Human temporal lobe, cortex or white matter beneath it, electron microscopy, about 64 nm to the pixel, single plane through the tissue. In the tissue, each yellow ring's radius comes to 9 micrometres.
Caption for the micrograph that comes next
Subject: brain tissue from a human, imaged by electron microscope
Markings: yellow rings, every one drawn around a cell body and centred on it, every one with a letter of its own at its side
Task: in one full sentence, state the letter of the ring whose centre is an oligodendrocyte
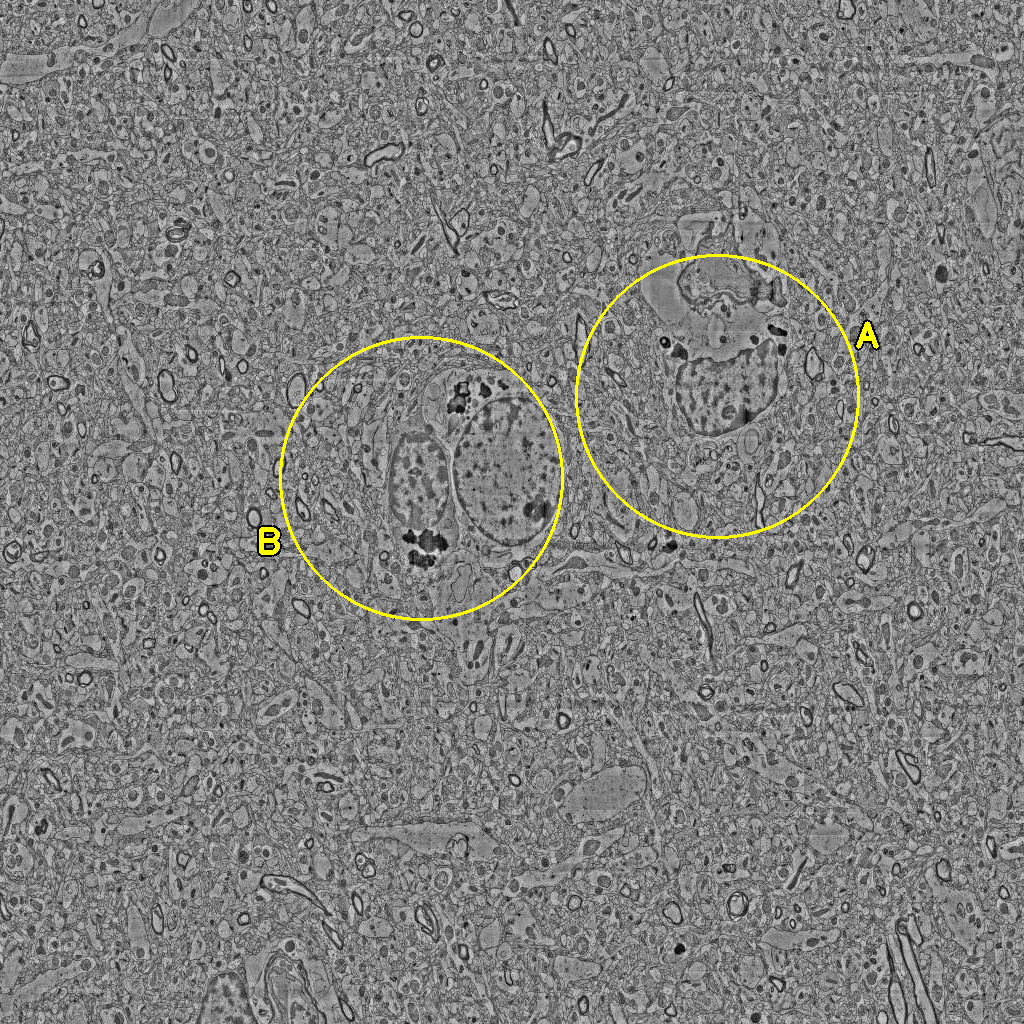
The ring centred on the cell asked for in this micrograph carries the letter B.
